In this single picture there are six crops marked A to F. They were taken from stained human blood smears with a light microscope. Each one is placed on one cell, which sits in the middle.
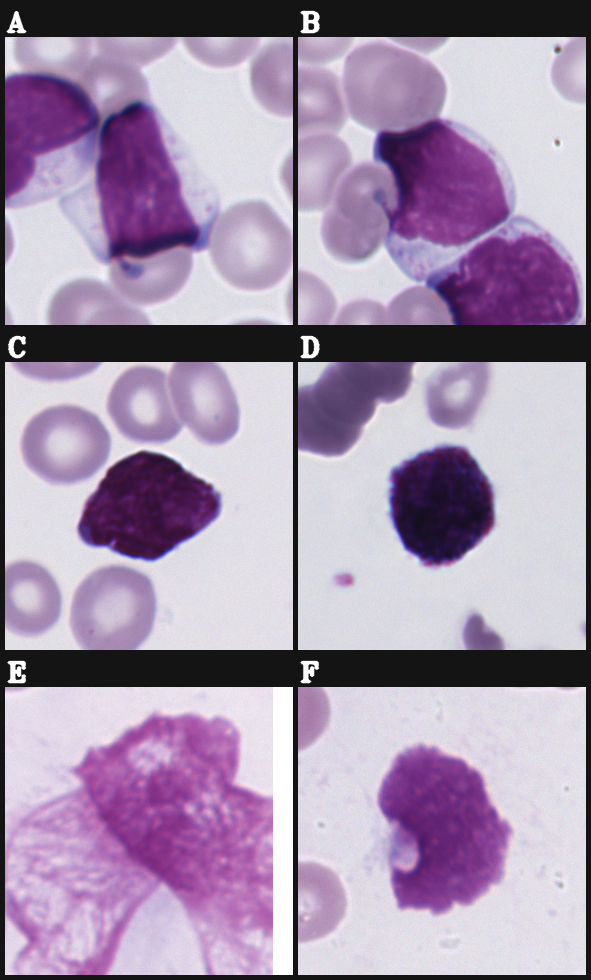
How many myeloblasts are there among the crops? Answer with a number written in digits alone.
2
